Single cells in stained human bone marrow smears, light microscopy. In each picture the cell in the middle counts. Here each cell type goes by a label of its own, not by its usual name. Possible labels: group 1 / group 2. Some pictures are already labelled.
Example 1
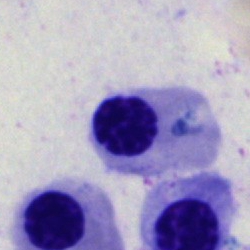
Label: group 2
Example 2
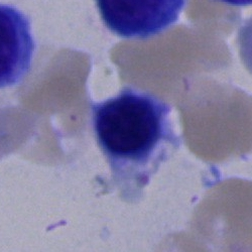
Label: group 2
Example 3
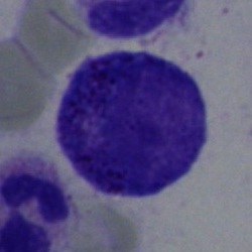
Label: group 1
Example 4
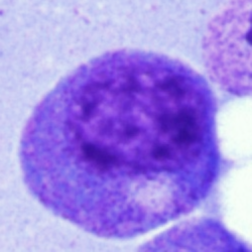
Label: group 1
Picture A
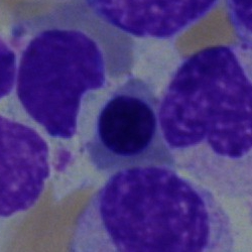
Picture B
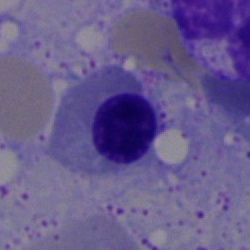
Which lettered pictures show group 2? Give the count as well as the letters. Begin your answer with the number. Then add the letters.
2, namely A, B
